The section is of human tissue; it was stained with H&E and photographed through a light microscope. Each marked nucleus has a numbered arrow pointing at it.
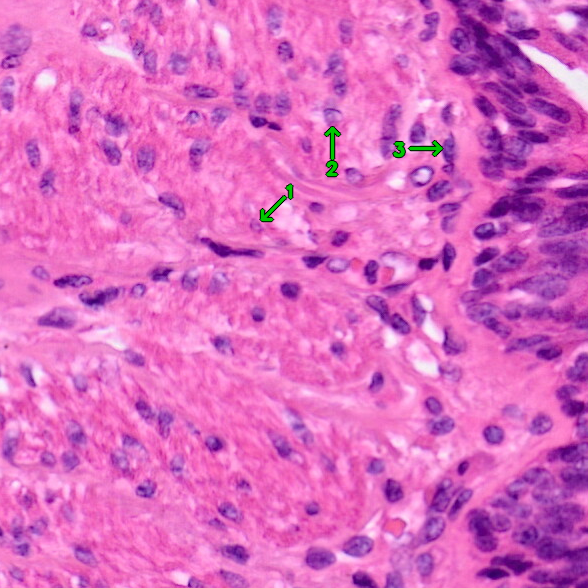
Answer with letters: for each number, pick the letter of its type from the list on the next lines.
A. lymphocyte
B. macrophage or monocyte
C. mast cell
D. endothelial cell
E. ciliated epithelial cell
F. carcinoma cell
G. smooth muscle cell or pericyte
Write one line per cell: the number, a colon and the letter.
1: G
2: G
3: A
